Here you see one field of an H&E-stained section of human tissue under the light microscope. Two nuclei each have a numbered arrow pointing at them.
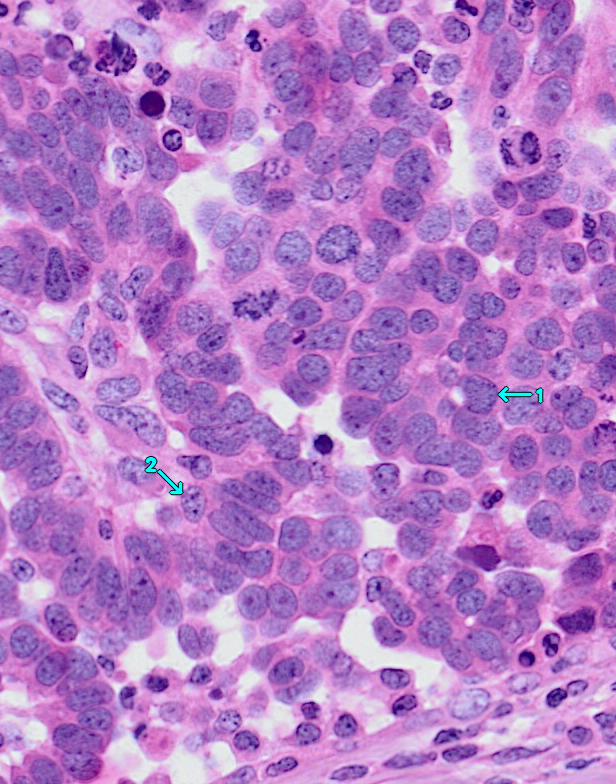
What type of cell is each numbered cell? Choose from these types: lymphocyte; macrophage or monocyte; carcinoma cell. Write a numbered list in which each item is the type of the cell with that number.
1. carcinoma cell
2. macrophage or monocyte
